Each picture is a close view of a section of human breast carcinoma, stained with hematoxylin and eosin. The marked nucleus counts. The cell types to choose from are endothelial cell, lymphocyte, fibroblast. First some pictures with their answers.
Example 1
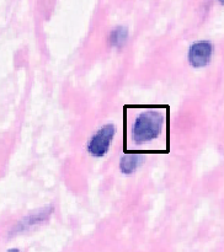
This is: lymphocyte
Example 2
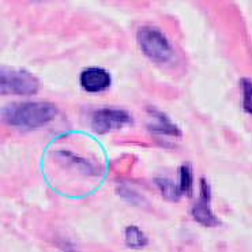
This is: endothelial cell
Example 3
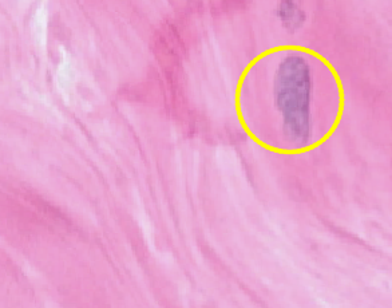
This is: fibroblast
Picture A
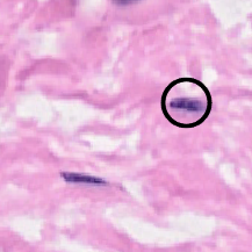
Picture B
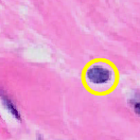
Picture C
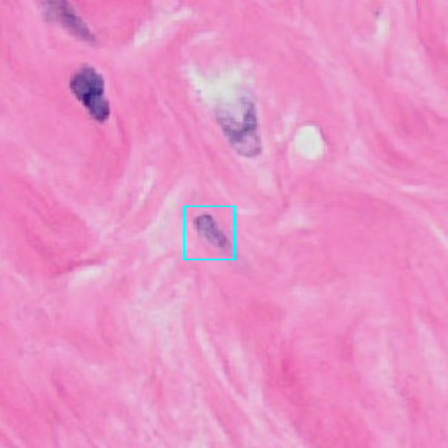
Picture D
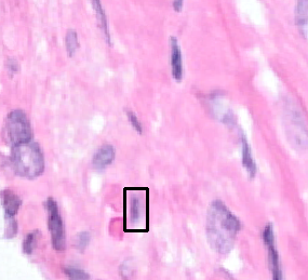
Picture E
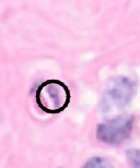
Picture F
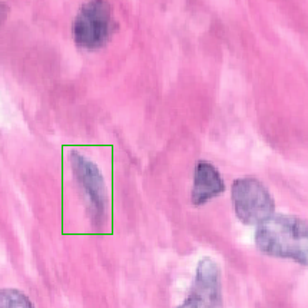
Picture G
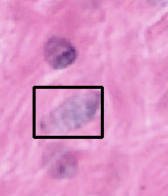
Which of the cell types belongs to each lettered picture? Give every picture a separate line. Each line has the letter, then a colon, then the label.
A: fibroblast
B: lymphocyte
C: fibroblast
D: endothelial cell
E: endothelial cell
F: fibroblast
G: fibroblast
